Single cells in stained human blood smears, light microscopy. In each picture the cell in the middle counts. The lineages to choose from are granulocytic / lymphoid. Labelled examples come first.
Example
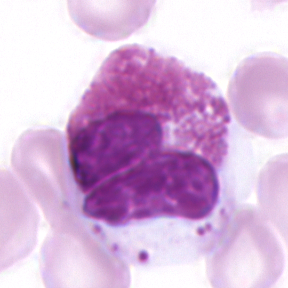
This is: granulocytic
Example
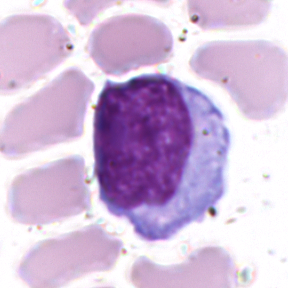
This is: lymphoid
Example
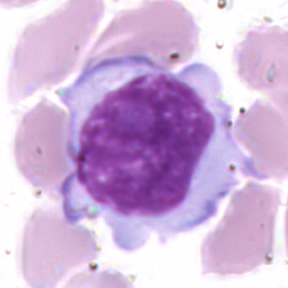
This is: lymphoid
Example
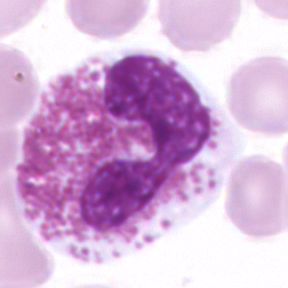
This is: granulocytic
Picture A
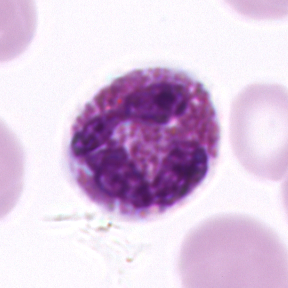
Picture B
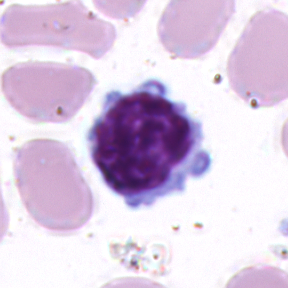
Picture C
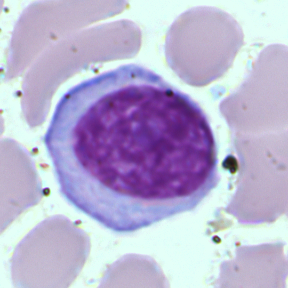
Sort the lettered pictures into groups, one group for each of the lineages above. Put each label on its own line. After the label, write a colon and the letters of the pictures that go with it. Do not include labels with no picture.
granulocytic: A
lymphoid: B, C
